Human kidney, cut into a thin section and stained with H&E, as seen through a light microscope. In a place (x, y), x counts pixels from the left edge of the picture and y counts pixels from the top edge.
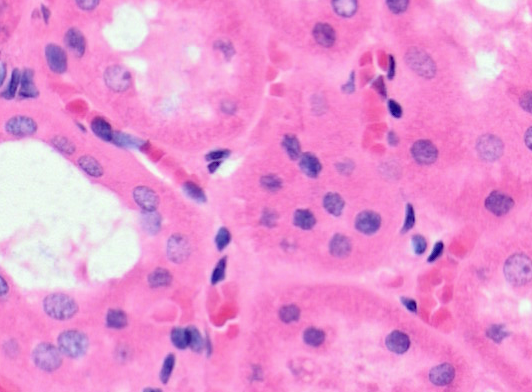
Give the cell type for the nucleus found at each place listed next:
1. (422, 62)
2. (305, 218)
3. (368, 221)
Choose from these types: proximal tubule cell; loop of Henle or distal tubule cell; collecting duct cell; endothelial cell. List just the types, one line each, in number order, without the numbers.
proximal tubule cell
loop of Henle or distal tubule cell
loop of Henle or distal tubule cell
